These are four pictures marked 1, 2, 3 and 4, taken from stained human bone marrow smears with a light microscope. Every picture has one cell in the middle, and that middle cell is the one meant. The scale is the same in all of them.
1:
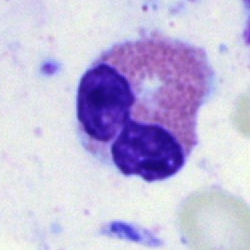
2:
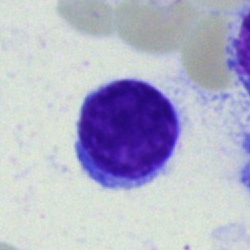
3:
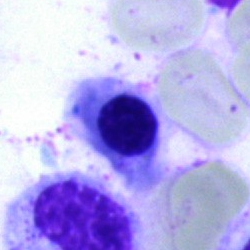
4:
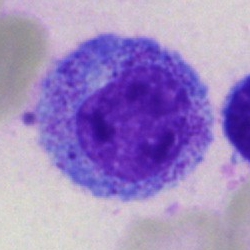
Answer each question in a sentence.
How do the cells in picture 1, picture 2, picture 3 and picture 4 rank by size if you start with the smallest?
Going up, they run 3, 2, 1, 4.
